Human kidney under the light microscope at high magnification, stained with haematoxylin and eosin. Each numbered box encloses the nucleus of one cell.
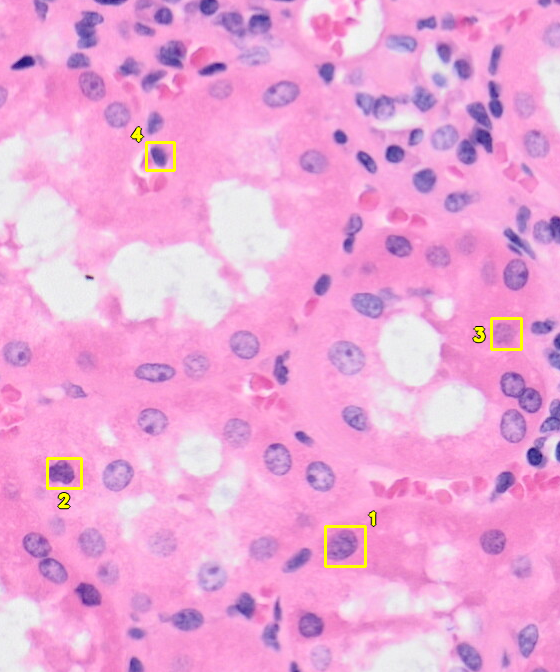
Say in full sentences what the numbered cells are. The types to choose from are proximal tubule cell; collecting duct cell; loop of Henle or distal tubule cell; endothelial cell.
Cell 1 is a proximal tubule cell, cell 2 is a proximal tubule cell, cell 3 is a proximal tubule cell and cell 4 is an endothelial cell.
